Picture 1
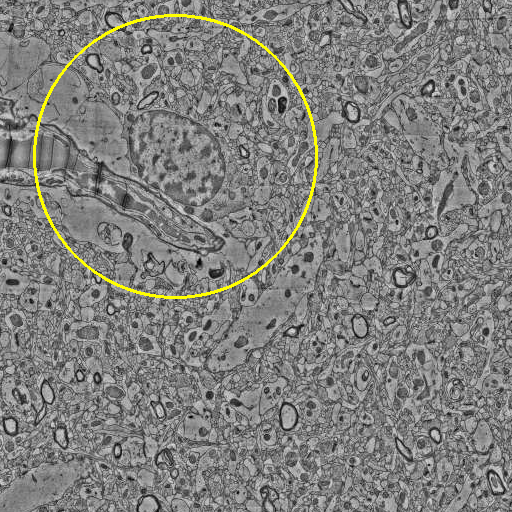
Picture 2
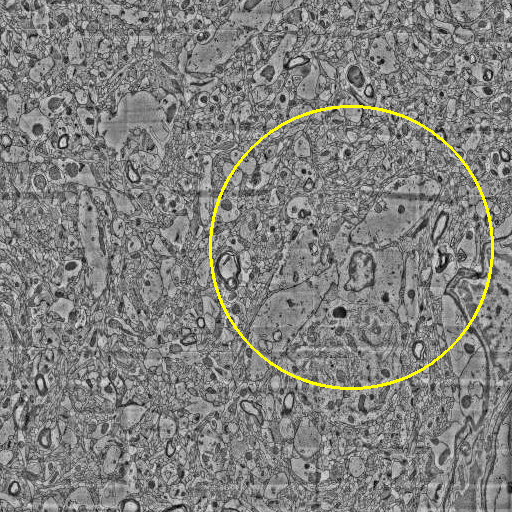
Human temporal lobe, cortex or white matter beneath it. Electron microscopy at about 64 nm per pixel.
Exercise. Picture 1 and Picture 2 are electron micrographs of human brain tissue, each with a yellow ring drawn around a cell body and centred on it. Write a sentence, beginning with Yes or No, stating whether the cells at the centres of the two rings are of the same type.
No, the cells at the centres of the rings are of two types.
